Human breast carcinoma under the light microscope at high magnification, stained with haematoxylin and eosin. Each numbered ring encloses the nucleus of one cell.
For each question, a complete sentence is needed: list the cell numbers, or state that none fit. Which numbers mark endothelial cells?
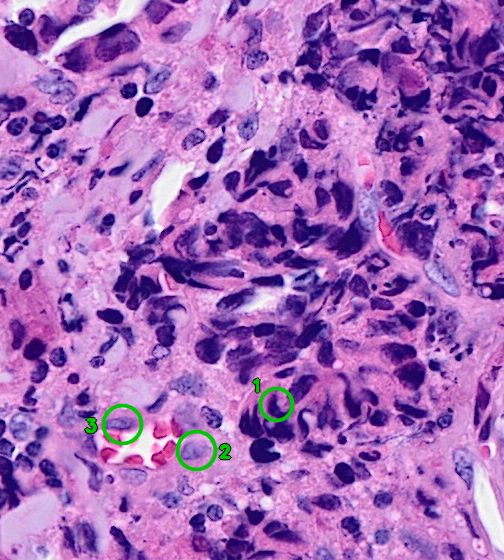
The cells with the number labels 2 and 3 are endothelial cells.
